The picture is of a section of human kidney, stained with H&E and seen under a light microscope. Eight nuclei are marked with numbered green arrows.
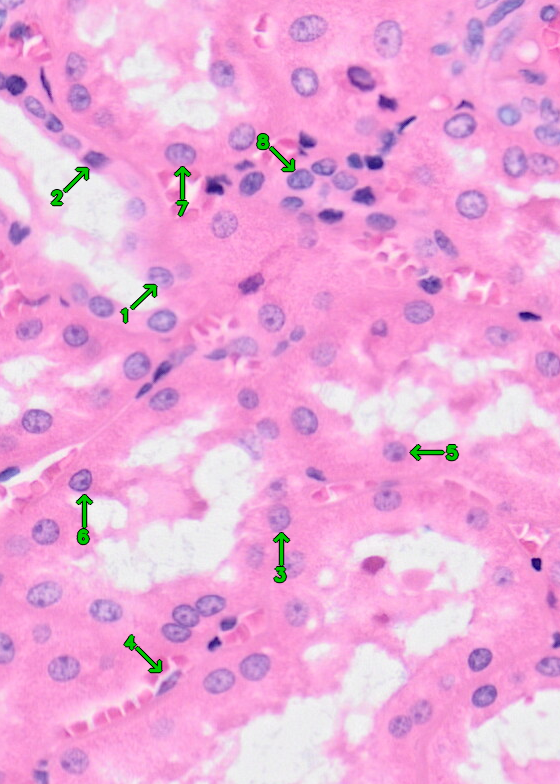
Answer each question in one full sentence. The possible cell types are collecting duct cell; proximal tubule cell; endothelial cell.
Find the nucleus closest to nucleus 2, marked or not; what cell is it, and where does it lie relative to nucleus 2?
Lying above and to the left of nucleus 2, the nearest nucleus is that of a collecting duct cell.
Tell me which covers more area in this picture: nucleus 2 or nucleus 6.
Of the two, number 6 is bigger and takes up about 1.5 times the area of number 2.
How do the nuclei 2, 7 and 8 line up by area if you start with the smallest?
Smallest first, the nuclei run 2, 8, 7.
